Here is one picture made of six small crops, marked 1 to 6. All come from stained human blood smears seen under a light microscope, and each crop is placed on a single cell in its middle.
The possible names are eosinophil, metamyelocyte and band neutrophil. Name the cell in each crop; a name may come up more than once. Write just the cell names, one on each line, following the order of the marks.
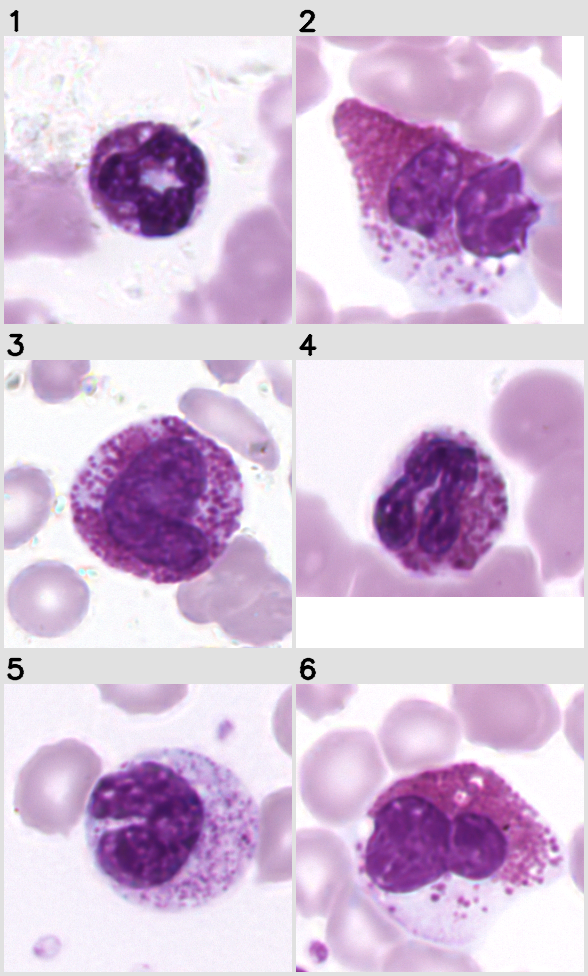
eosinophil
eosinophil
eosinophil
eosinophil
band neutrophil
eosinophil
